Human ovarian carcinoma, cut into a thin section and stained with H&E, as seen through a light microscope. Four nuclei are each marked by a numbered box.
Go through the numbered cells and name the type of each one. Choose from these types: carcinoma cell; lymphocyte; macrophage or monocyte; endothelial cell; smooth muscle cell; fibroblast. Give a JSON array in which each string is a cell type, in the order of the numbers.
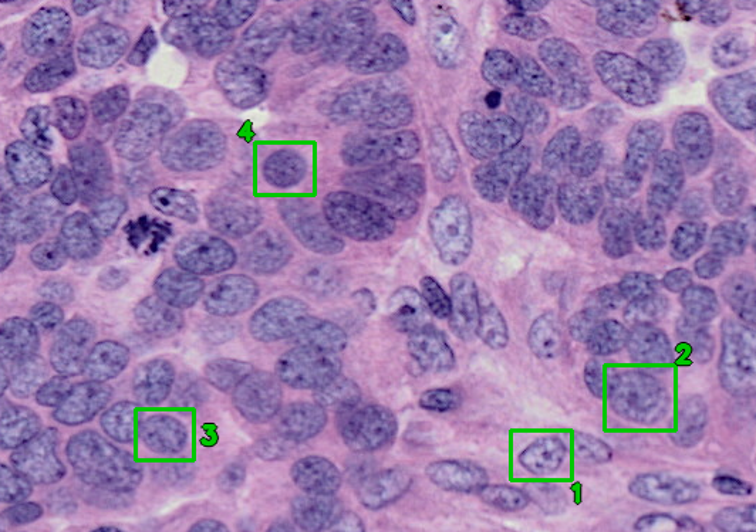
["fibroblast", "carcinoma cell", "carcinoma cell", "carcinoma cell"]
